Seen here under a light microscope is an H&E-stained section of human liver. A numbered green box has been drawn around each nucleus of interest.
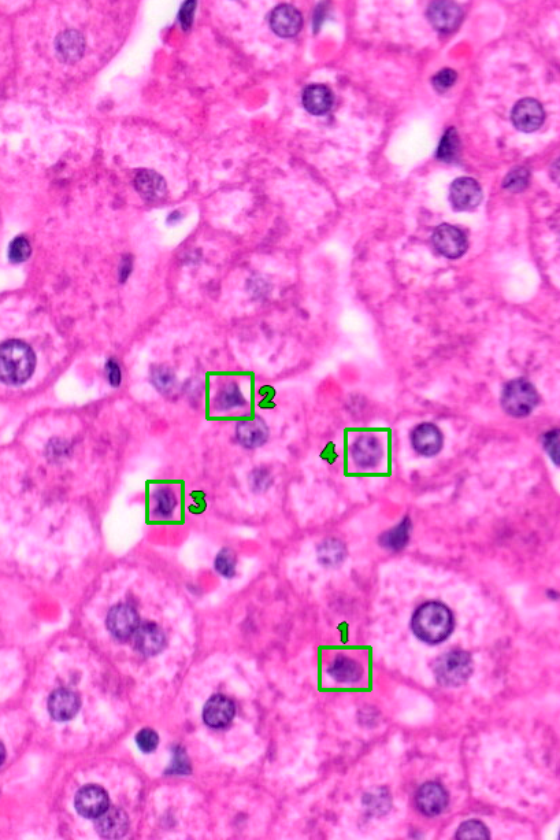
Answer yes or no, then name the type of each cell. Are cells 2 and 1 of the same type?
Yes, that is right: cells 2 and 1 are both endothelial cells.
